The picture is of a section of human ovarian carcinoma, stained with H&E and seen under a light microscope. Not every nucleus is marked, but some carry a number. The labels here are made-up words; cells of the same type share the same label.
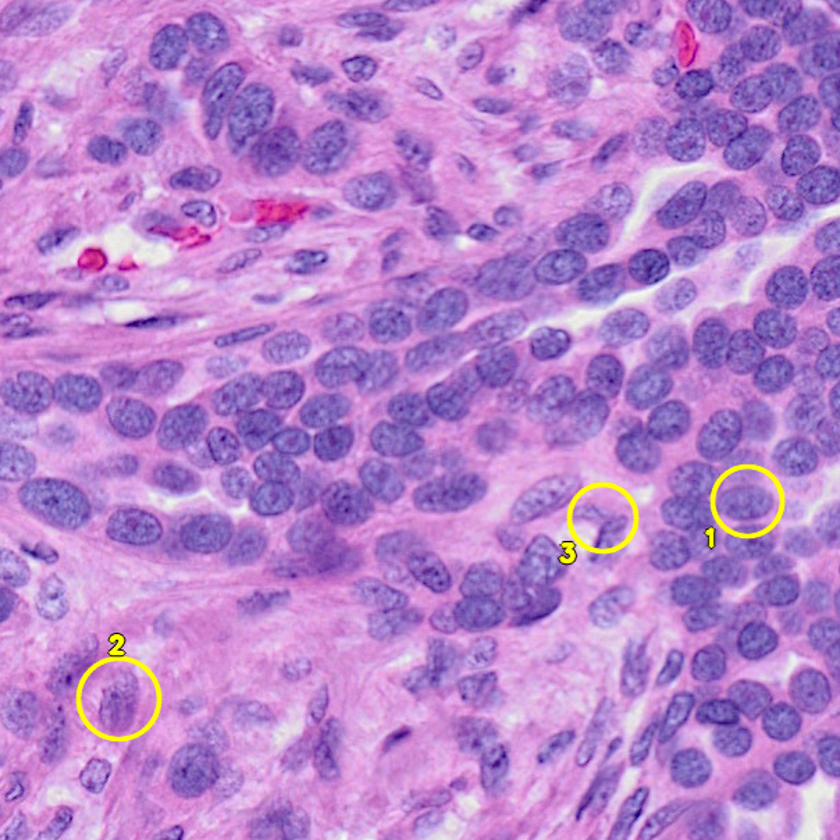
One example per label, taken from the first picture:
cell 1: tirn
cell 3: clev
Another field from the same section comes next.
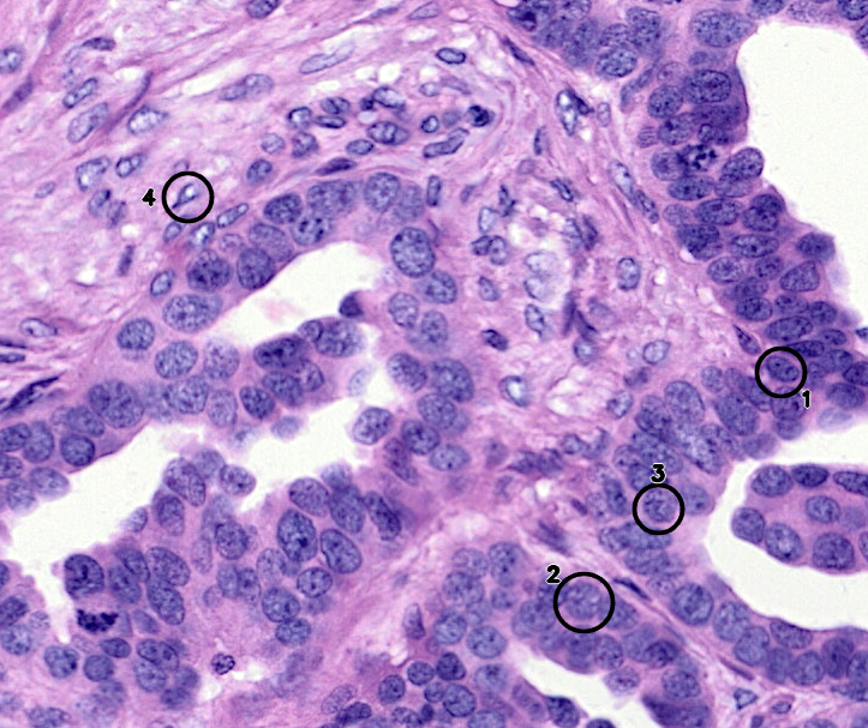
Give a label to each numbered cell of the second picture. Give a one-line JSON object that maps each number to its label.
{"1": "tirn", "2": "tirn", "3": "tirn", "4": "clev"}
